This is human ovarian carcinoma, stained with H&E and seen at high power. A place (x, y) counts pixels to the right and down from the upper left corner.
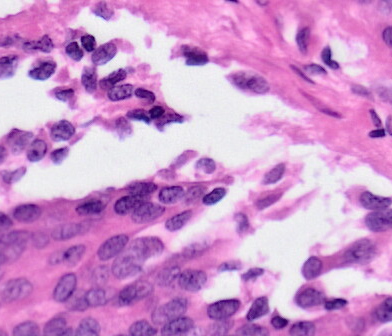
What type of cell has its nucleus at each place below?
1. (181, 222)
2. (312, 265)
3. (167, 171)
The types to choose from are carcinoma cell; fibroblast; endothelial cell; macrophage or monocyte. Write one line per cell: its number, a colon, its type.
1: macrophage or monocyte
2: carcinoma cell
3: carcinoma cell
